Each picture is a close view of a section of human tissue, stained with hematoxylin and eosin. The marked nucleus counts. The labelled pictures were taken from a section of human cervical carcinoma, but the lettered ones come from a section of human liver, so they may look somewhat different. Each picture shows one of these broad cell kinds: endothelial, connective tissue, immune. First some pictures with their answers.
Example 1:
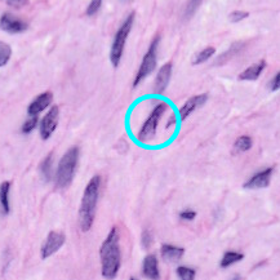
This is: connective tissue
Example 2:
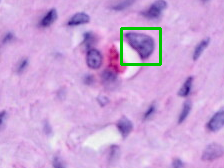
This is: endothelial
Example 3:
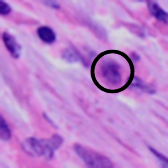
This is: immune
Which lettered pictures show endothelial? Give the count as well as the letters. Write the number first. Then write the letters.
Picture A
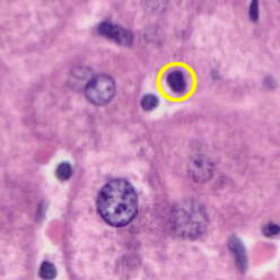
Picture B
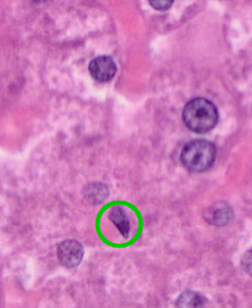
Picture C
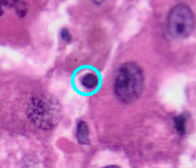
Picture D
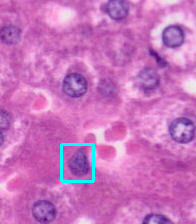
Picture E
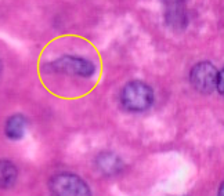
1, namely B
